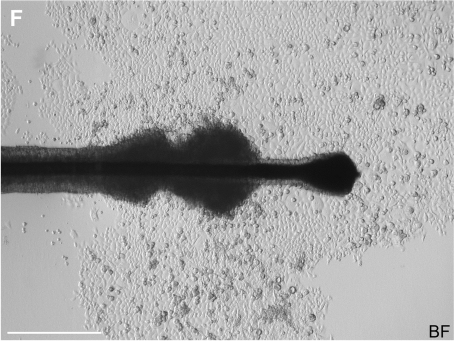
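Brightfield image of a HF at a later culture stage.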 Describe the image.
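An elongated, dark hair follicle lies horizontally across the field, with a narrow shaft that ends in a rounded bulb-like tip on the right. Along its length the dark sheath around the shaft swells into two broad, irregular thickenings with fuzzy, frayed margins.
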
